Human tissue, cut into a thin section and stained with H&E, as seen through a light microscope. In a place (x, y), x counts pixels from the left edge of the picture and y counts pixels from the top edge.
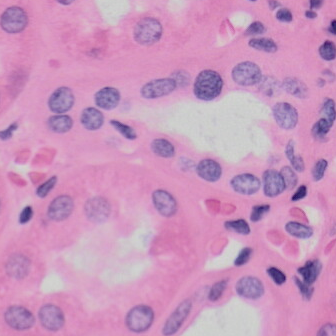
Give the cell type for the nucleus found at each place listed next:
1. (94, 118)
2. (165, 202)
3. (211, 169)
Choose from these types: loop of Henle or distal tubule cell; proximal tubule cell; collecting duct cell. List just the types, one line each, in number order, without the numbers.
collecting duct cell
proximal tubule cell
collecting duct cell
